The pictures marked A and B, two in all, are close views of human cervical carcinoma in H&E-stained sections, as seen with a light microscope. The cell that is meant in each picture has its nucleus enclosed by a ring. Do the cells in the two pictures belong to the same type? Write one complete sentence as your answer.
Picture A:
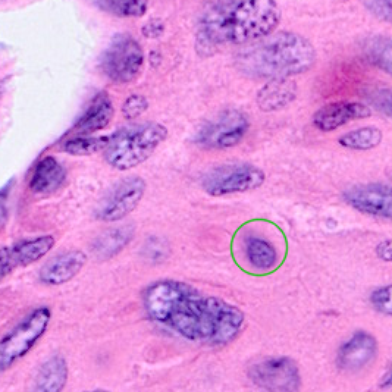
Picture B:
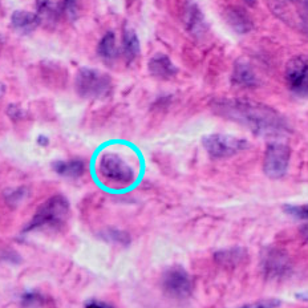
No, they differ: the cell is a squamous carcinoma cell in picture A and a “macrophage or monocyte” in picture B.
